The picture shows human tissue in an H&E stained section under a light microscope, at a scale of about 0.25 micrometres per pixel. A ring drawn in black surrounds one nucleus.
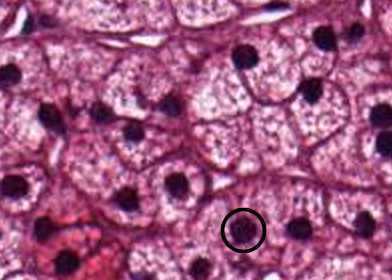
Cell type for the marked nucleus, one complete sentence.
The mark indicates the nucleus of an adrenal cortical cell.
